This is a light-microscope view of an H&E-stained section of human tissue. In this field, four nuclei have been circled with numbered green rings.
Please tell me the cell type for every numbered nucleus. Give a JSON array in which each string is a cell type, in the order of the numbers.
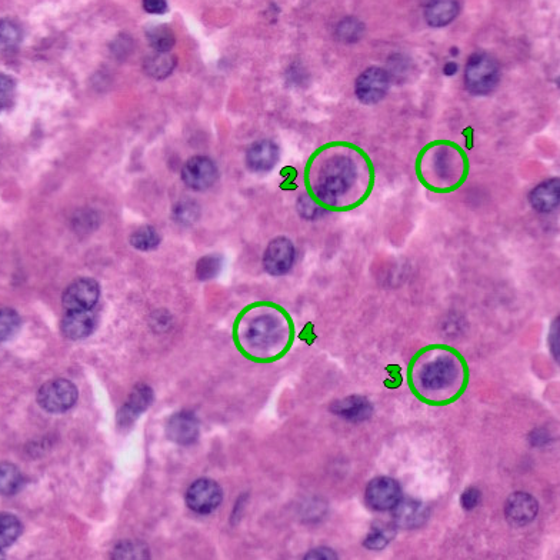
["endothelial cell", "hepatocyte", "fibroblast or stellate cell", "hepatocyte"]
